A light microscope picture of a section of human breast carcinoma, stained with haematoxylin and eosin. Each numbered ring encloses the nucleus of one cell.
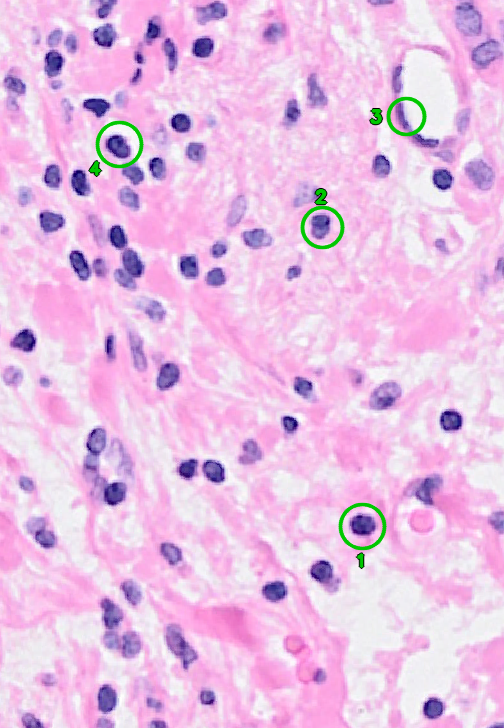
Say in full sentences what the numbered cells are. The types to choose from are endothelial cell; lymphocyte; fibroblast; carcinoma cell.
Cell 1 is a lymphocyte, cell 2 is a lymphocyte, cell 3 is an endothelial cell and cell 4 is a lymphocyte.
